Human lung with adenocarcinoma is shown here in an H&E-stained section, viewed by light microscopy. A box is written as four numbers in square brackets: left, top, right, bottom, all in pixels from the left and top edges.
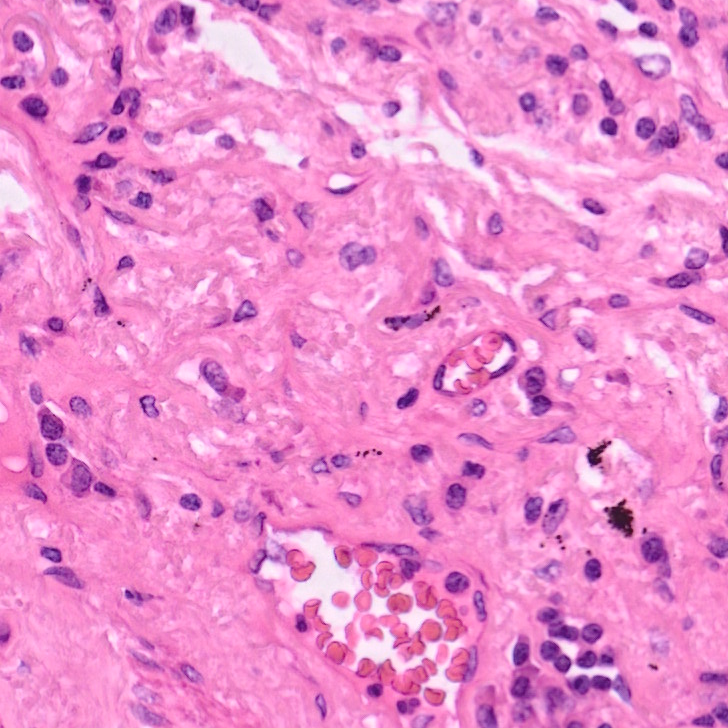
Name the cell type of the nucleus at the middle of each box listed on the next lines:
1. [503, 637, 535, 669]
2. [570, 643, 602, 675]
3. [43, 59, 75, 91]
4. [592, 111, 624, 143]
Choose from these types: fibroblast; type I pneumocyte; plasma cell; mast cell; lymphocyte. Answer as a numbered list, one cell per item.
1. plasma cell
2. lymphocyte
3. lymphocyte
4. lymphocyte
